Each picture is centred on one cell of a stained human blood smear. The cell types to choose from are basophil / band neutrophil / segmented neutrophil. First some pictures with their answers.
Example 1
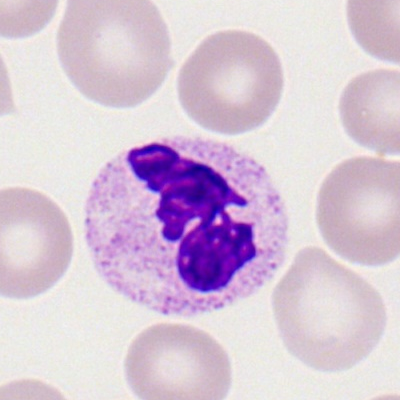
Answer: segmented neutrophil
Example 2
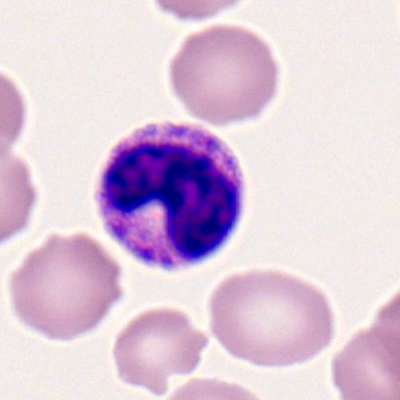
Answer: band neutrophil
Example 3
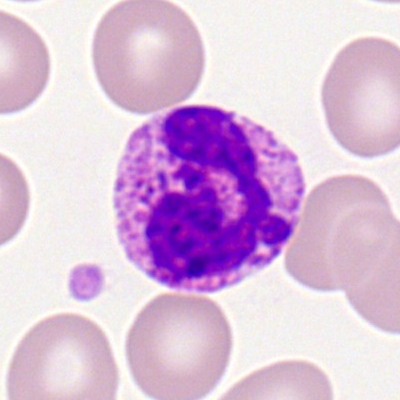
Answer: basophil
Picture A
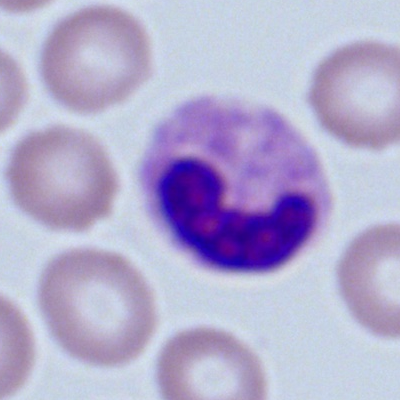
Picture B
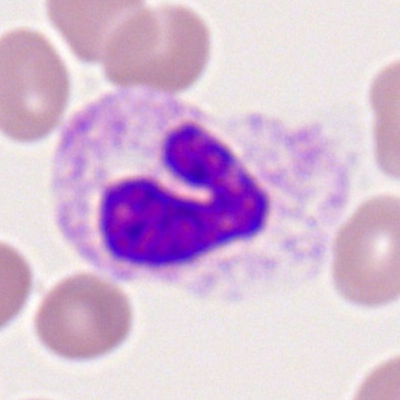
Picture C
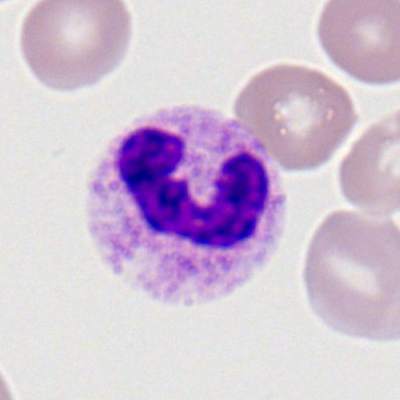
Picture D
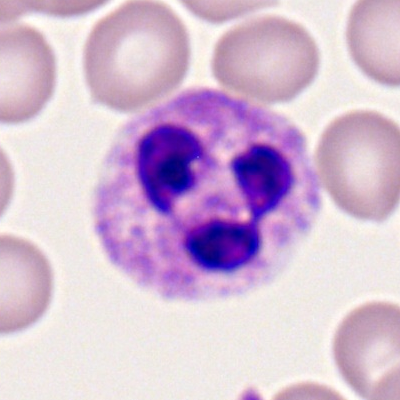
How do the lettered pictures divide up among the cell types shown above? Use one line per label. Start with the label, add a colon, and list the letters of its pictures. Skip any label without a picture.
band neutrophil: A, B, C
segmented neutrophil: D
